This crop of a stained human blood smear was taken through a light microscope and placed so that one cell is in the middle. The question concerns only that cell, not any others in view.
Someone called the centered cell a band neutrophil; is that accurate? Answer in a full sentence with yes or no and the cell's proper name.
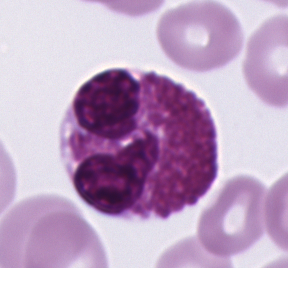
No, the central cell is an eosinophil, not a band neutrophil.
